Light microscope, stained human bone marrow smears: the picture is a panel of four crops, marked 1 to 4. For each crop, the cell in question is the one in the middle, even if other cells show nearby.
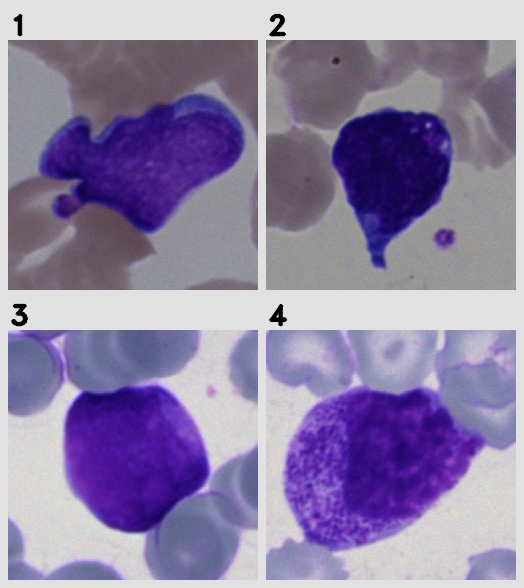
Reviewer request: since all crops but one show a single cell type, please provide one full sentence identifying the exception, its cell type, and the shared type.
Crop 4 holds a myelocyte, unlike the remaining crops, all of which hold blasts.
